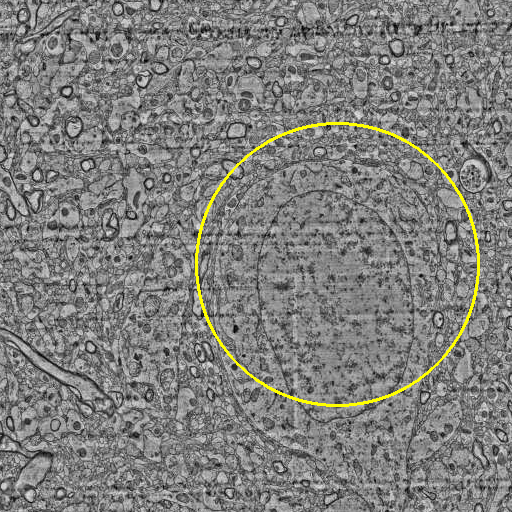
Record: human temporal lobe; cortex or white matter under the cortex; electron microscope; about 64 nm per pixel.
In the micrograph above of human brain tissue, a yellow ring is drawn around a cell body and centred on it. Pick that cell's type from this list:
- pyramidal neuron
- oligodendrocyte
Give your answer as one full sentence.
Going by the list, a pyramidal neuron is the cell on which the yellow ring is centred.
